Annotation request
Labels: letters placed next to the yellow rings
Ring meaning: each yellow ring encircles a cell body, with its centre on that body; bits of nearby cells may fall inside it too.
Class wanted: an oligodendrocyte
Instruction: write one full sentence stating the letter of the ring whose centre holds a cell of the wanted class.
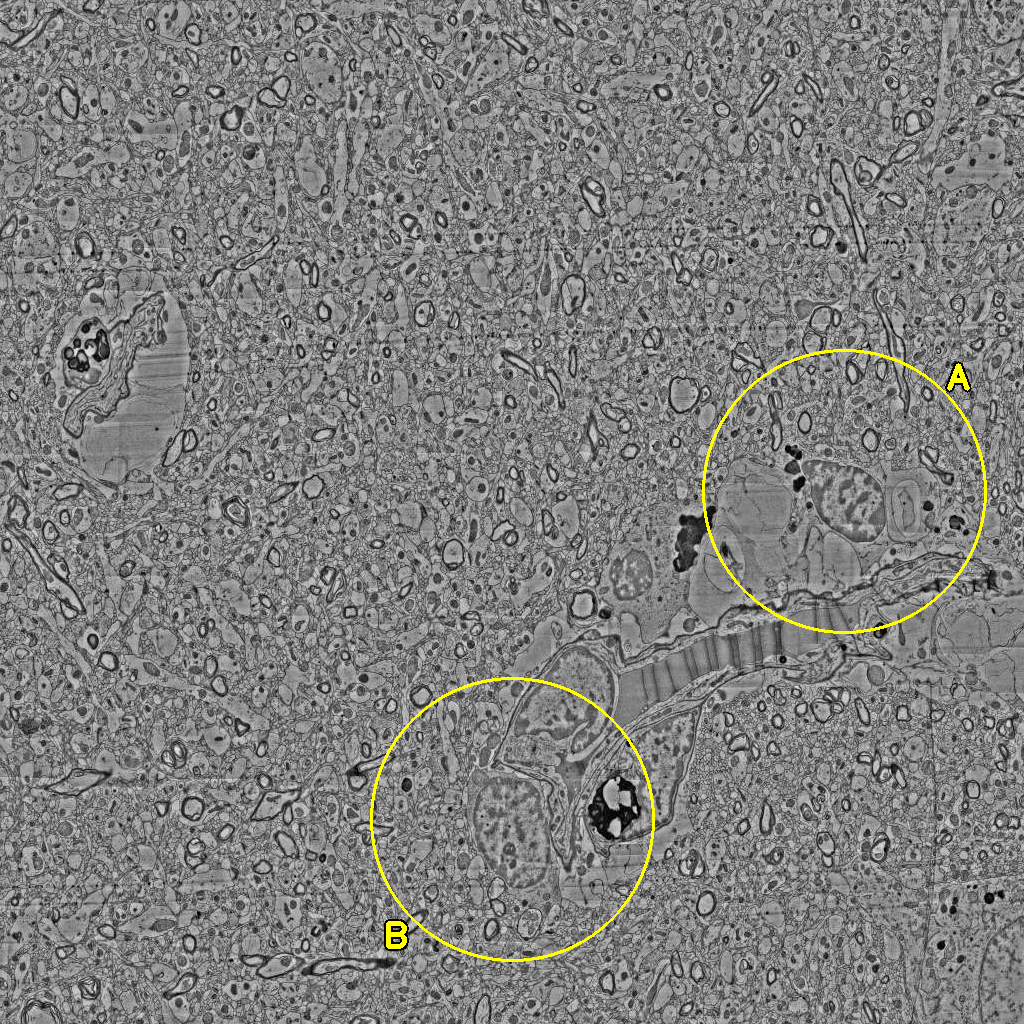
For this annotation, a cell of that kind sits at the centre of ring B.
